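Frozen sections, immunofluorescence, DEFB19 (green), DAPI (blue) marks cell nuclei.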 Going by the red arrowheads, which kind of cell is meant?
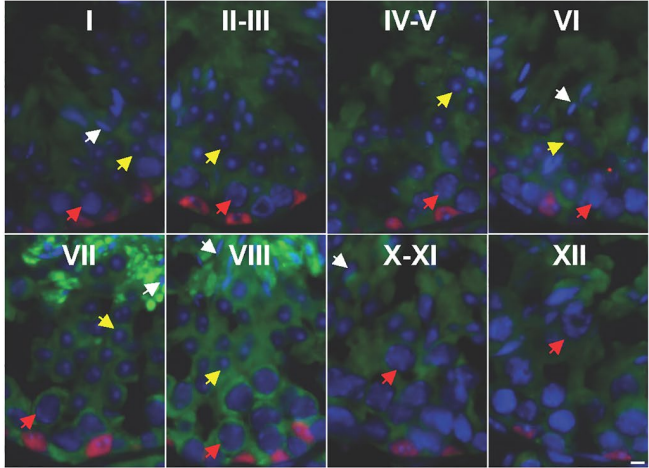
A: spermatocyte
